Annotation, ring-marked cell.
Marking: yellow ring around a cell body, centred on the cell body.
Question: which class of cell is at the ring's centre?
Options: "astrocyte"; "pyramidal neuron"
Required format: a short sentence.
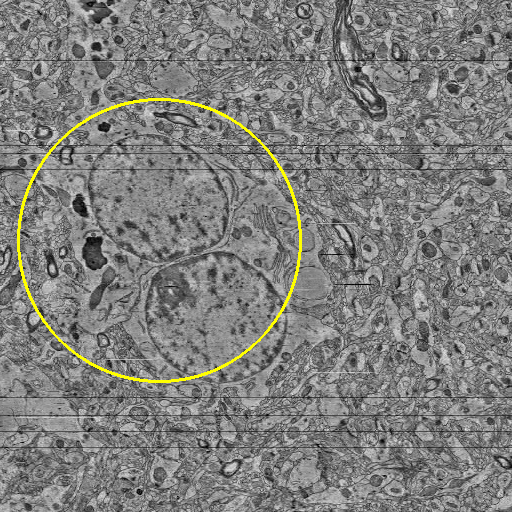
At the ring's centre is an astrocyte.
